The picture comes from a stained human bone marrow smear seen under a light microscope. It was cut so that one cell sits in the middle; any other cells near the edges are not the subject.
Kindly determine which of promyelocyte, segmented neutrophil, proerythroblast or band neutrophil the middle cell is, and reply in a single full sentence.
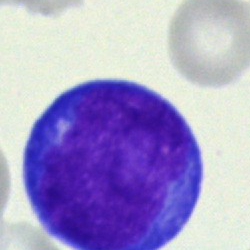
The cell found in the middle of this crop is a proerythroblast.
